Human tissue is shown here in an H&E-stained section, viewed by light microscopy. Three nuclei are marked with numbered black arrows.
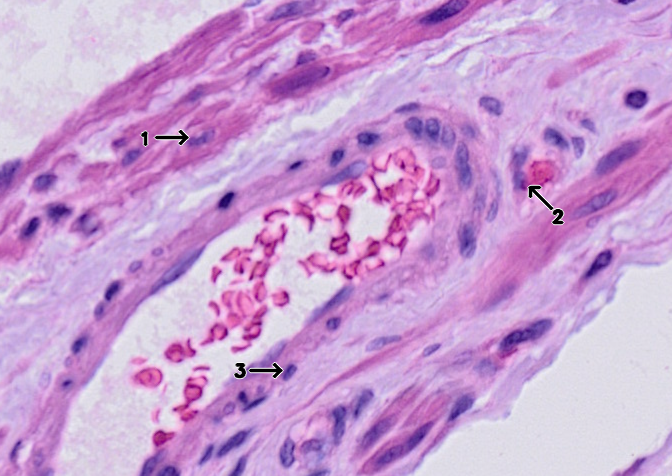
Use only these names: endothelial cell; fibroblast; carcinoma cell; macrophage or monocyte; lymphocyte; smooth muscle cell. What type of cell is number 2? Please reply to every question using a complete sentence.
Classified as an endothelial cell is the cell with the number 2.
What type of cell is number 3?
The cell with the number 3 is a smooth muscle cell.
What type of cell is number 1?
Numbered cell 1 is a smooth muscle cell in this tissue section.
